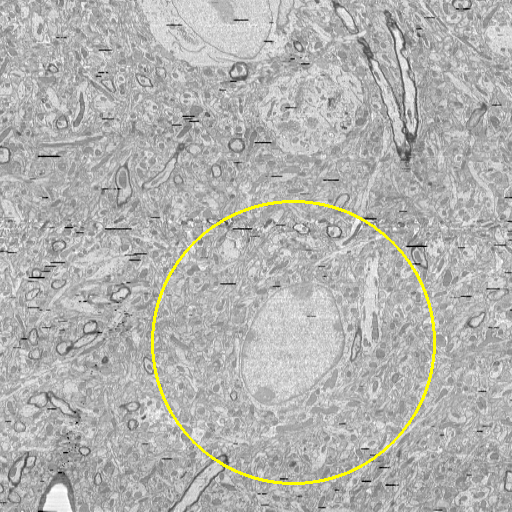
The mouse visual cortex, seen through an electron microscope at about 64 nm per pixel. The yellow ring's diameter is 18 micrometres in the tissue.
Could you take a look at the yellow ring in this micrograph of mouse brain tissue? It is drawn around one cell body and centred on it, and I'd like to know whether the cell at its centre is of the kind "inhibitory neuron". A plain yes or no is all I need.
no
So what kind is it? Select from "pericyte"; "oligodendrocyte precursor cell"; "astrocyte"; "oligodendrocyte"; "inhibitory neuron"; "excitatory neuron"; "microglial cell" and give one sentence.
It is an astrocyte that the ring is centred on.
